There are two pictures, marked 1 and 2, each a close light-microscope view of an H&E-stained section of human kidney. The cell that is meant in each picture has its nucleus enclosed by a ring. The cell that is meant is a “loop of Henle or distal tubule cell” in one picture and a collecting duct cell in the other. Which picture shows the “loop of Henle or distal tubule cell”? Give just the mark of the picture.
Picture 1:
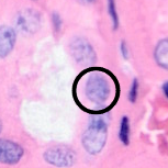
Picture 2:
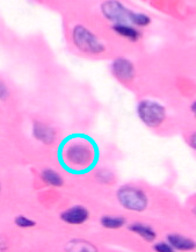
2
